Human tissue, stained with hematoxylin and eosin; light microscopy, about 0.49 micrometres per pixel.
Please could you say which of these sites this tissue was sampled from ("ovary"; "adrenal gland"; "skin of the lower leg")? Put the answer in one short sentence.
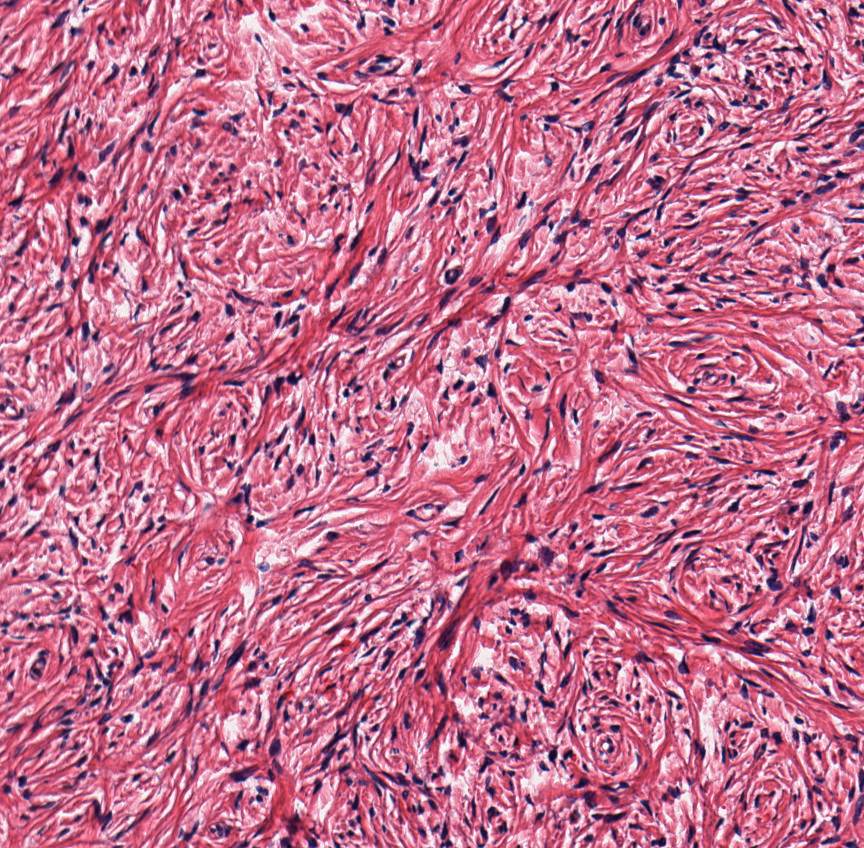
The site this tissue was sampled from is the ovary.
